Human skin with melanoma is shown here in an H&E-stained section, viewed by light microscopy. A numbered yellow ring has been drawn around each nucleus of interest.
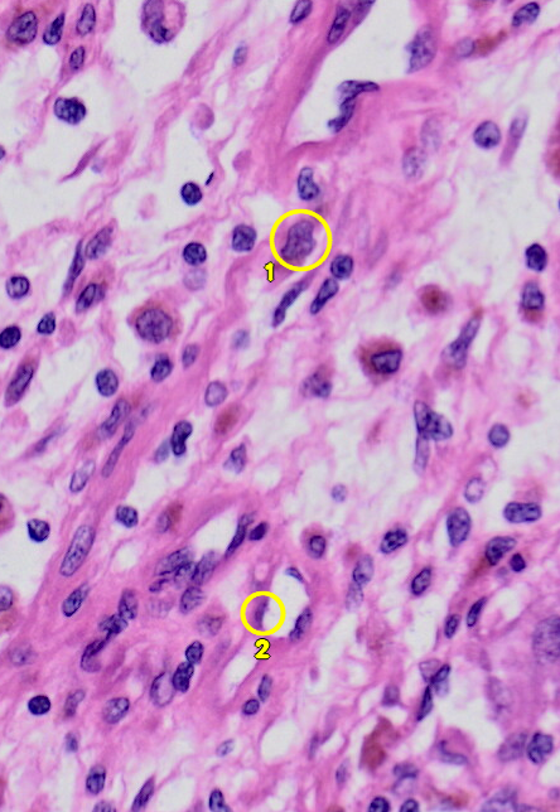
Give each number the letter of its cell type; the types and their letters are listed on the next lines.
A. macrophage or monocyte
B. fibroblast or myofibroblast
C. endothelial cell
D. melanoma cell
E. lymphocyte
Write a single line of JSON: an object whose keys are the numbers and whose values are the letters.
{"1": "A", "2": "C"}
